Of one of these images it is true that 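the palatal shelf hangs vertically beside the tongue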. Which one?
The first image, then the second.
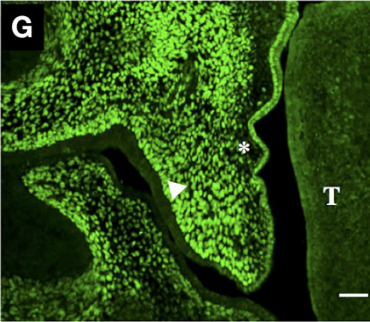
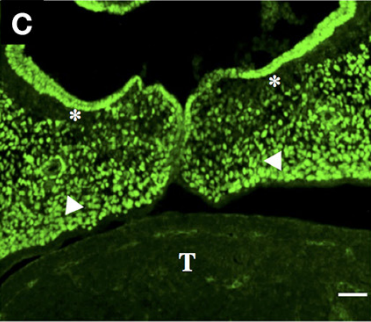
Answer: The first image.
